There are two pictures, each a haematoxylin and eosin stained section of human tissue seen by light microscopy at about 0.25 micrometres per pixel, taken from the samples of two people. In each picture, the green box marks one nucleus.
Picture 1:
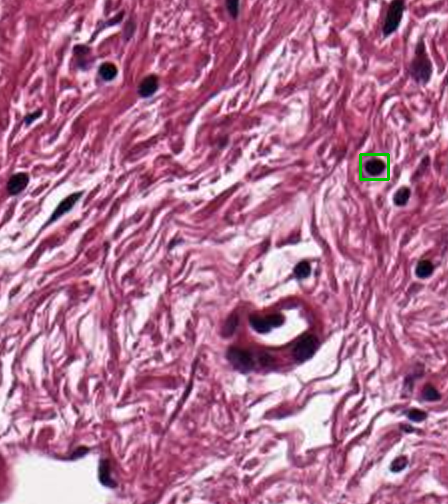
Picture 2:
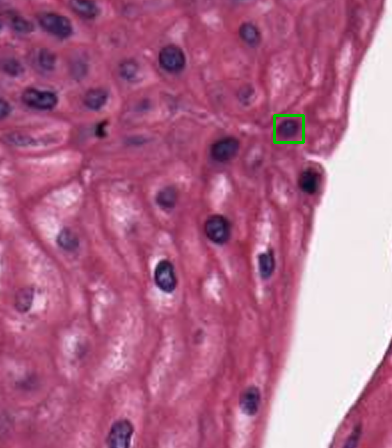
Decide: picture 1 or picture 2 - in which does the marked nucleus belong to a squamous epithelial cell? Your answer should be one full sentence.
Between the two pictures, it is picture 2 whose marked nucleus belongs to a squamous epithelial cell.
